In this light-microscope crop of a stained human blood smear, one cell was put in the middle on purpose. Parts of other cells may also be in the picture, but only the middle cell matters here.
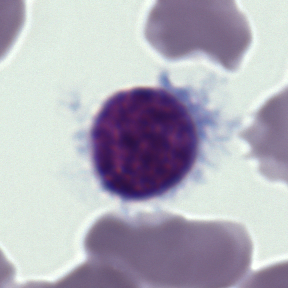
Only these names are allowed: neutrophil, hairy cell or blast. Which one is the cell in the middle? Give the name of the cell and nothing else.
hairy cell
